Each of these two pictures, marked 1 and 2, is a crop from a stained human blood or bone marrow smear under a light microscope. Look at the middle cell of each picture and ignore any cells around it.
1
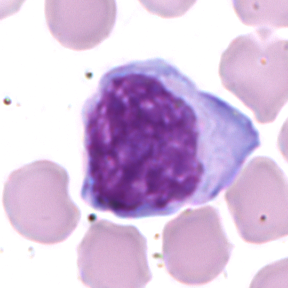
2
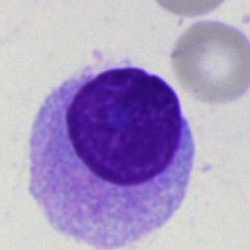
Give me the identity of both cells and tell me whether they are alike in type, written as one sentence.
Yes, both crops feature plasma cells at the centre.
